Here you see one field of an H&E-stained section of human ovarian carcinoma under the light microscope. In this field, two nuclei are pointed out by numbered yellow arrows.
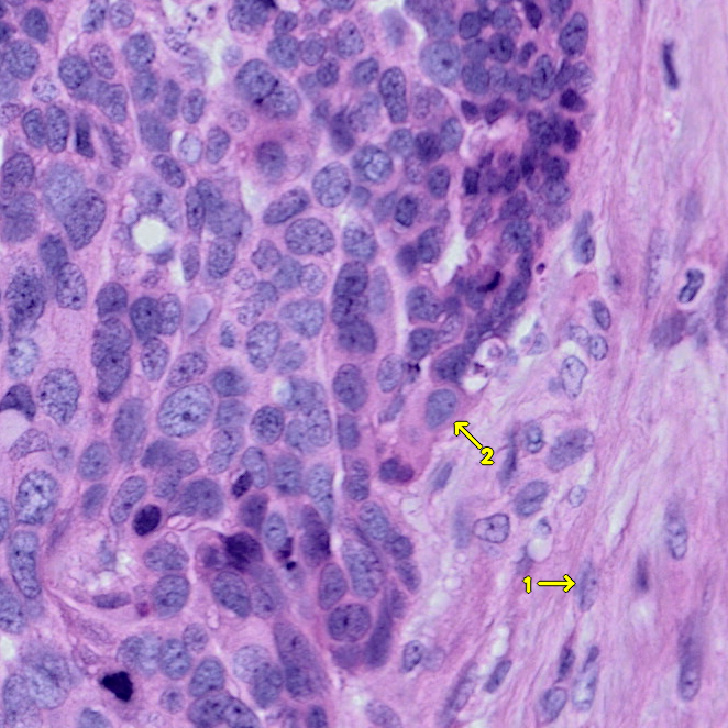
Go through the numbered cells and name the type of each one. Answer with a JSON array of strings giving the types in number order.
["fibroblast", "carcinoma cell"]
